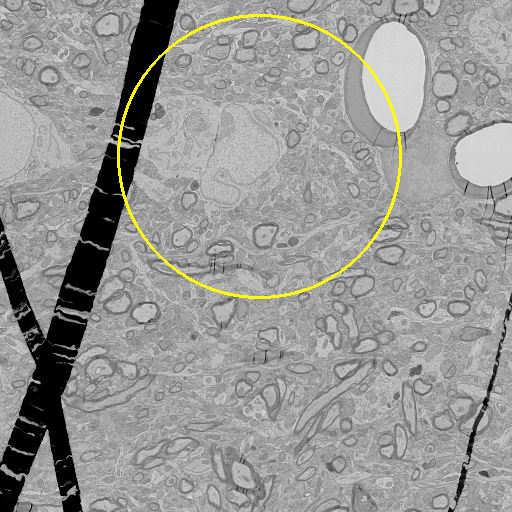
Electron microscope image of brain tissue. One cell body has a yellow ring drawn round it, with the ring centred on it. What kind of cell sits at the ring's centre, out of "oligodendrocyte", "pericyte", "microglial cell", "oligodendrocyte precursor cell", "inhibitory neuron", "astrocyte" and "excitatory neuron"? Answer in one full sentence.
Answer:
It is an oligodendrocyte precursor cell whose cell body sits at the centre of the yellow ring.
